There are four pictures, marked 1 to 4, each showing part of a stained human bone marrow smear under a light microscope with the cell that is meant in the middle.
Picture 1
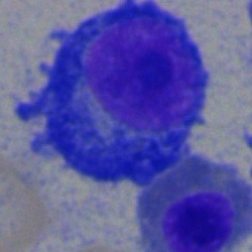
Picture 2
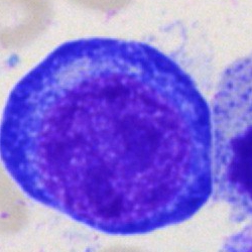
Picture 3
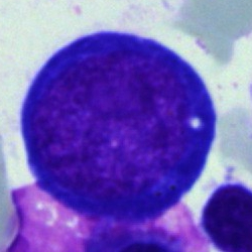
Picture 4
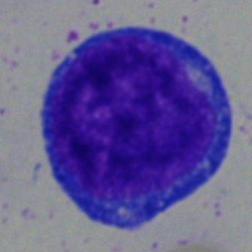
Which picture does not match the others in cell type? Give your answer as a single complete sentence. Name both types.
The different one is picture 1; it shows a plasma cell, whereas all the others show proerythroblasts.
